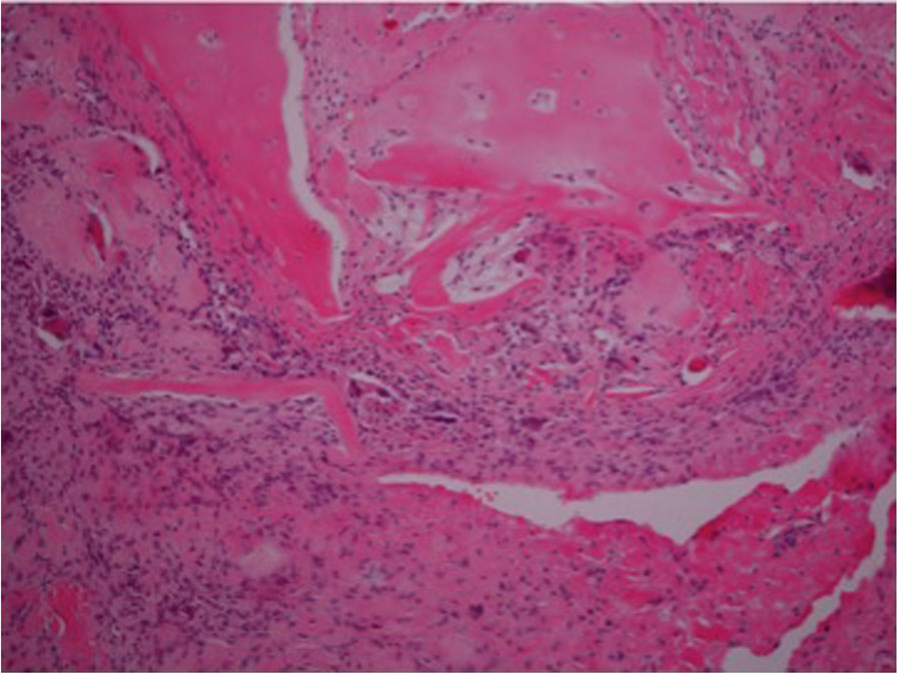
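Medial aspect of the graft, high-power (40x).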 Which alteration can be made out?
Extensive inflammatory cell infiltrates.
